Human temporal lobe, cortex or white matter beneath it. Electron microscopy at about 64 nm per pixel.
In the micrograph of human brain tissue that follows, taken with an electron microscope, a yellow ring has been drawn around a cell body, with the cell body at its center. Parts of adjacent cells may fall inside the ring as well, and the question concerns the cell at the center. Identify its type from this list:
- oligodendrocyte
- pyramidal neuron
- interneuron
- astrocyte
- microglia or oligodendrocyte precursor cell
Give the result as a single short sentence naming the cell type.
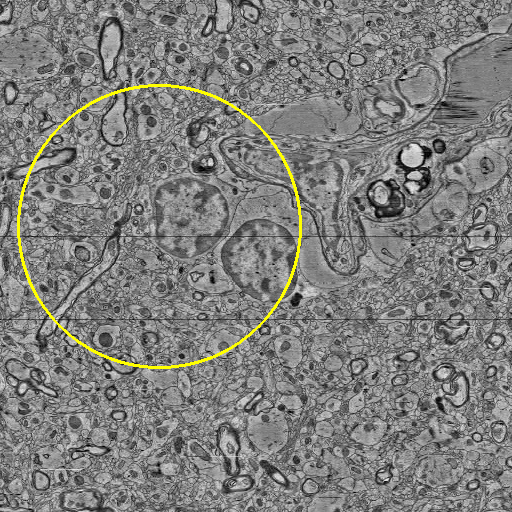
The ring is centered on an oligodendrocyte.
